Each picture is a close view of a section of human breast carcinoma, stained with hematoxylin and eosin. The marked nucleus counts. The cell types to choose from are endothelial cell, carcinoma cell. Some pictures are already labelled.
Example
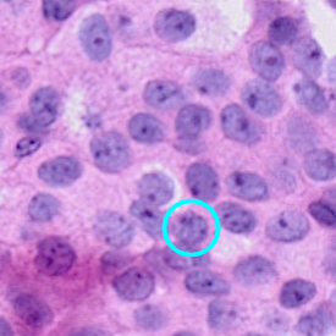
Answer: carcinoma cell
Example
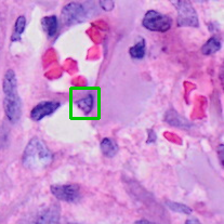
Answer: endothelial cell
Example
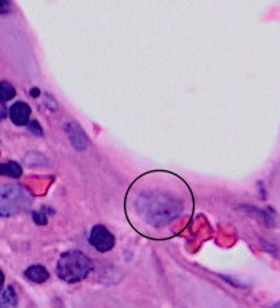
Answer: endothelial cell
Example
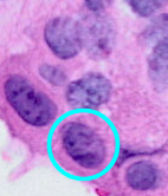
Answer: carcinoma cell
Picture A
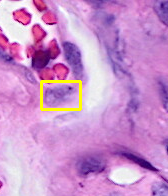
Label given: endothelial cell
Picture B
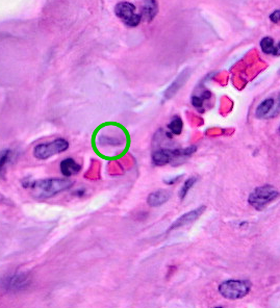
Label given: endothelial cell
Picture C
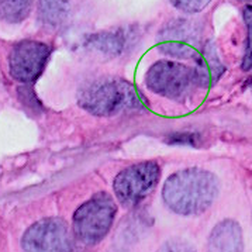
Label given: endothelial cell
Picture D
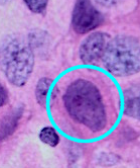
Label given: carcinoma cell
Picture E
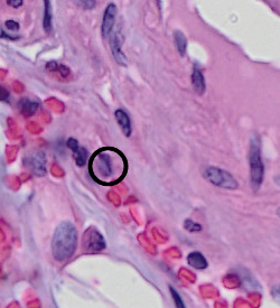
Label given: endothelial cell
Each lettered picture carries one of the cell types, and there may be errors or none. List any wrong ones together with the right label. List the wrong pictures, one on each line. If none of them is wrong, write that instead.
C: carcinoma cell, not endothelial cell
